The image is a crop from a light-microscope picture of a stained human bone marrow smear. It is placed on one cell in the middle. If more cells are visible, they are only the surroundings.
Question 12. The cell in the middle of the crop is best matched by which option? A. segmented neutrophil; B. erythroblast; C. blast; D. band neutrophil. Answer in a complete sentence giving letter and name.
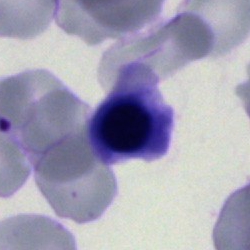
Seen at the centre of the crop is an erythroblast, so option B is correct.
